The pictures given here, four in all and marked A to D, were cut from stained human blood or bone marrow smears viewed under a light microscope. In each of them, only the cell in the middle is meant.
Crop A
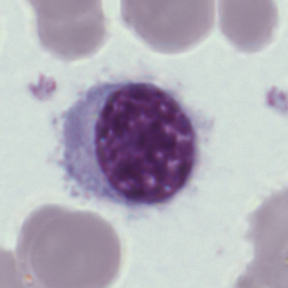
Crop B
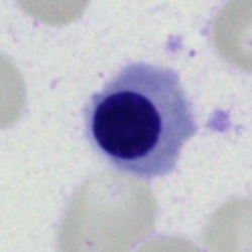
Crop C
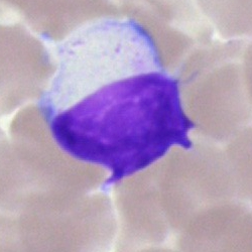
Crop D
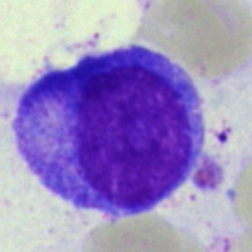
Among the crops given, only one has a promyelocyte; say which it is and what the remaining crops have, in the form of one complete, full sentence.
Crop D is identified as a promyelocyte, while crop A is a plasma cell, crop B is an erythroblast and crop C is a lymphocyte.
